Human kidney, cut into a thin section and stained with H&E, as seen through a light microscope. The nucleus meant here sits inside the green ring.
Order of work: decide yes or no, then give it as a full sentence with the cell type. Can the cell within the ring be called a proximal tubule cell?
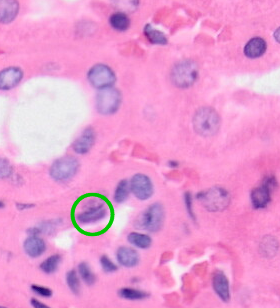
No, the correct identification of the cell within the ring is a collecting duct cell, not a proximal tubule cell.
